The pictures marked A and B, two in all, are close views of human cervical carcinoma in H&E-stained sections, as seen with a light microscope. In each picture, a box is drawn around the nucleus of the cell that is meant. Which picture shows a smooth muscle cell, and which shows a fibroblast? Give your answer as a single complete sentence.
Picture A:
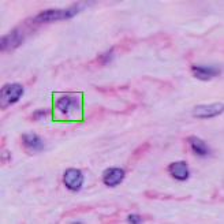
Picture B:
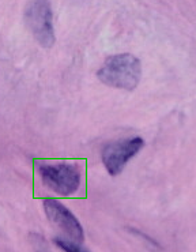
It is picture A that shows a smooth muscle cell, and picture B that shows a fibroblast.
